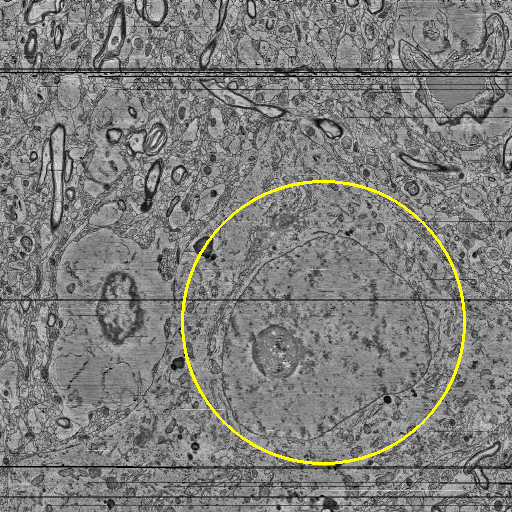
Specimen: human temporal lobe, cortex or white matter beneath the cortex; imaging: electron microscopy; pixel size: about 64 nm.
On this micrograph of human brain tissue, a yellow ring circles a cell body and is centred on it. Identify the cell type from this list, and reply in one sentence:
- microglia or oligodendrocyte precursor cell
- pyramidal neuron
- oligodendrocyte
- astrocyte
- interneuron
The cell at the centre is a pyramidal neuron.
